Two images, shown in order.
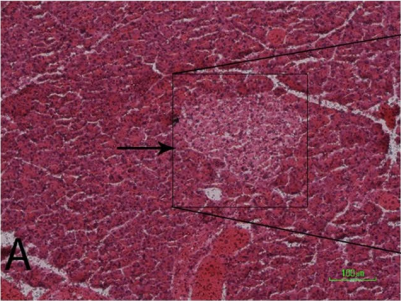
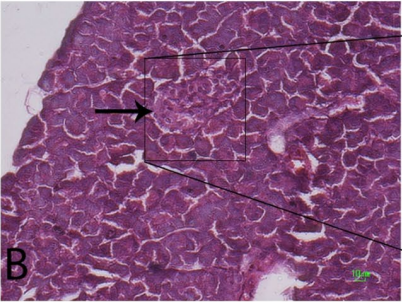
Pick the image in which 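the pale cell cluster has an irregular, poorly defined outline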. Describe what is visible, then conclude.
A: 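The second image. Second image: the cluster at the arrow is small and blends irregularly into the surrounding tissue. First image: the cluster at the arrow is a compact, rounded pale area clearly set off from the surrounding tissue.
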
